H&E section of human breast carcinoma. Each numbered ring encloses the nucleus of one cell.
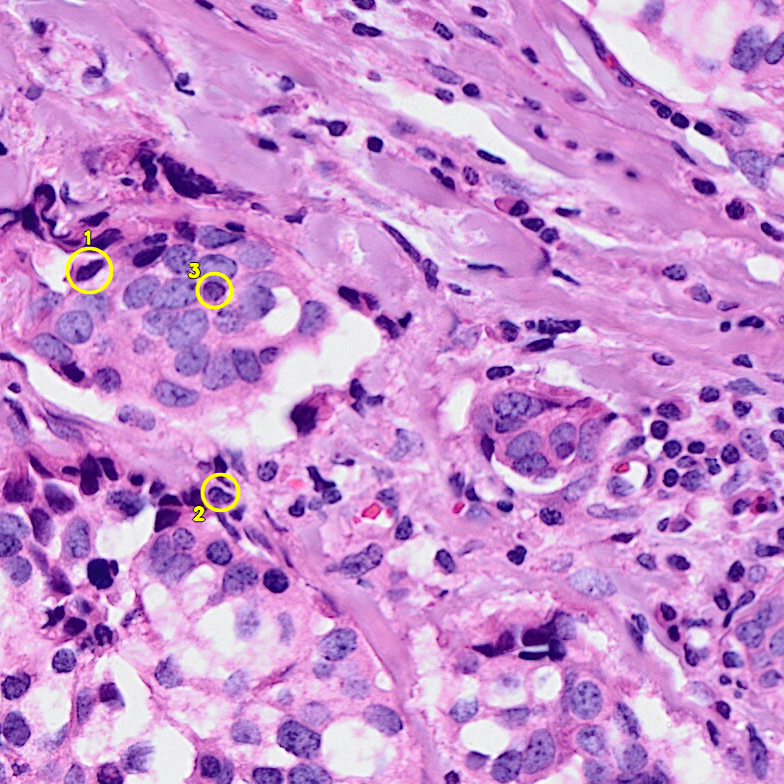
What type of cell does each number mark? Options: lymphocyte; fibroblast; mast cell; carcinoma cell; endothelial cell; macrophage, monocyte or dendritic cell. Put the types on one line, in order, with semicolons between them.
carcinoma cell; lymphocyte; carcinoma cell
